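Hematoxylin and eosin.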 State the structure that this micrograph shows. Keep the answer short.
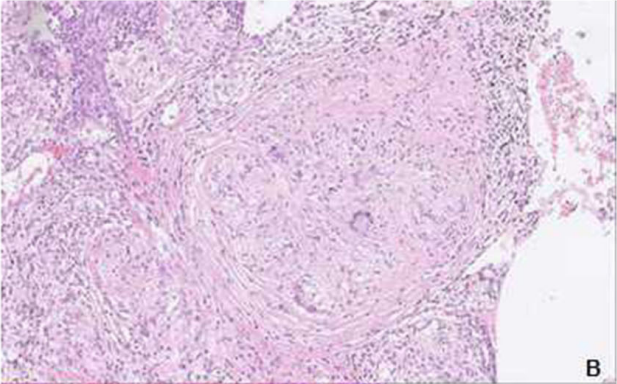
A: non-necrotizing granulomas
